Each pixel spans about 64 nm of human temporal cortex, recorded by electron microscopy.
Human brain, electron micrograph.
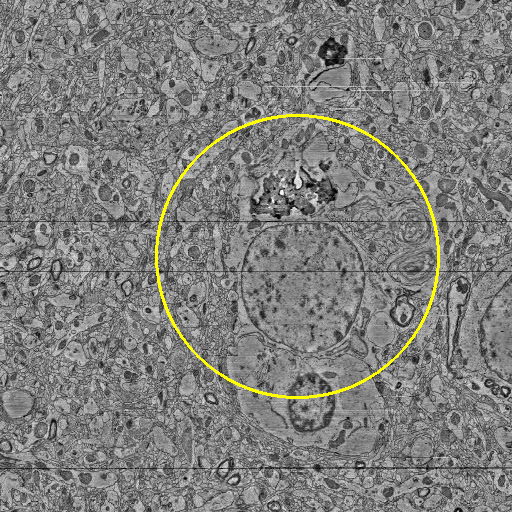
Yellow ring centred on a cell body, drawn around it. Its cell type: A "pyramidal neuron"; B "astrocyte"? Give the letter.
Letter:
B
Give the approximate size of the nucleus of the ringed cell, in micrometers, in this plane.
The nucleus is about 8 micrometres across in this plane.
